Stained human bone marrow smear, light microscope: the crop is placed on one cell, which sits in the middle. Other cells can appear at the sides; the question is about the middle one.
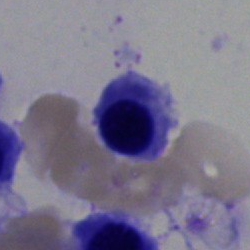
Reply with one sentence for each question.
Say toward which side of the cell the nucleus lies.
The nucleus is pushed toward the lower left of the cell.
